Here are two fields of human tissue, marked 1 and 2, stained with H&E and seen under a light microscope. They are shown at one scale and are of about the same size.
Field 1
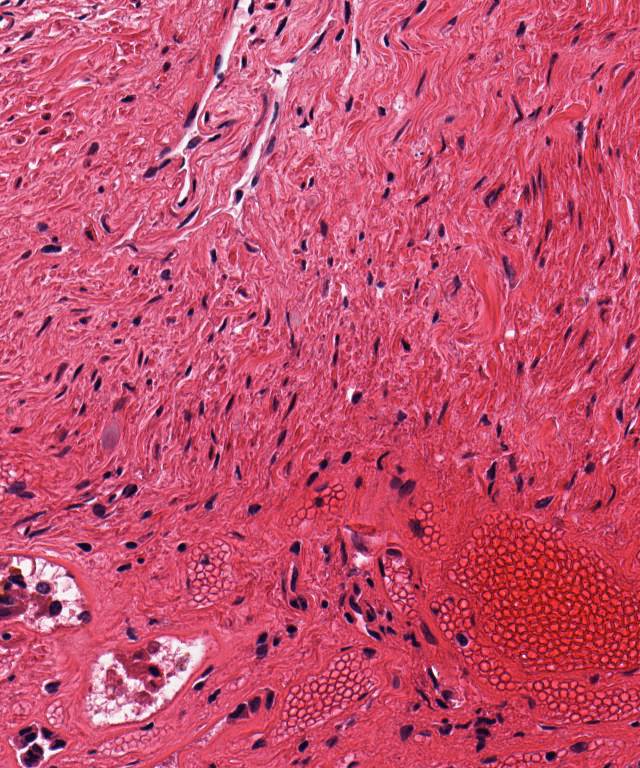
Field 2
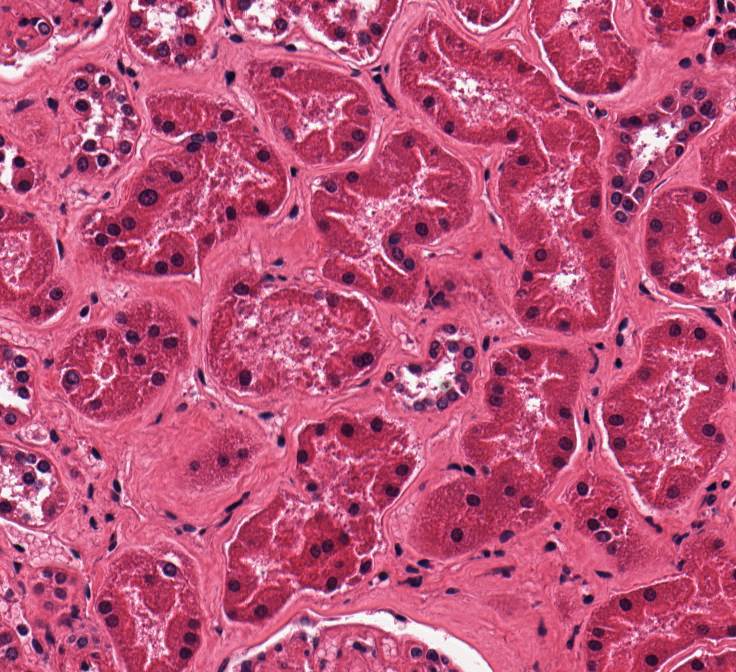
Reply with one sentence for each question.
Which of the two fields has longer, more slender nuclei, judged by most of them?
It is field 1 whose nuclei are the more elongated.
